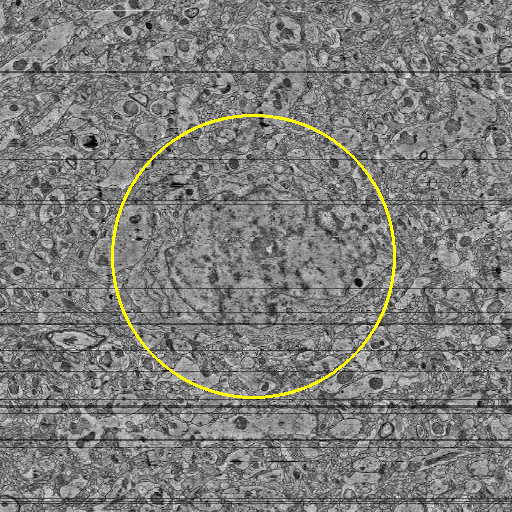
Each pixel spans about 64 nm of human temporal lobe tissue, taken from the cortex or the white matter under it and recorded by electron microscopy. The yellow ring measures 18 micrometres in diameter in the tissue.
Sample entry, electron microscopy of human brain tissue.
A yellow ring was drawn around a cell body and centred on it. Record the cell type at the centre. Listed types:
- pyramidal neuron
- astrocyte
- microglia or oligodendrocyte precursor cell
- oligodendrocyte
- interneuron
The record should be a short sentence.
The cell at the ring's centre is an interneuron.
